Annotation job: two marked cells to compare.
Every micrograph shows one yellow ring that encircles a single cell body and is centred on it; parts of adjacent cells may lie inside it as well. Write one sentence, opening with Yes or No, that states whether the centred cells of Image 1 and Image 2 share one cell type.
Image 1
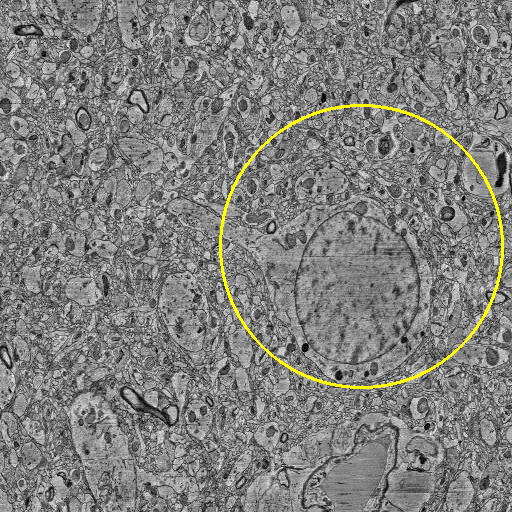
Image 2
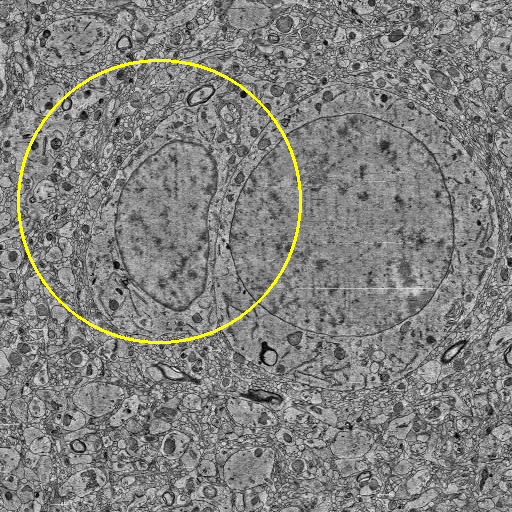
Yes, the cell centred in Image 1 shares its type with the cell centred in Image 2.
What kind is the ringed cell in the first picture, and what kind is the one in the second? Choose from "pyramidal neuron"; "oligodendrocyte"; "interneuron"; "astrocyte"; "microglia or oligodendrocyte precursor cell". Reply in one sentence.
Each of the two rings is centred on a pyramidal neuron.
